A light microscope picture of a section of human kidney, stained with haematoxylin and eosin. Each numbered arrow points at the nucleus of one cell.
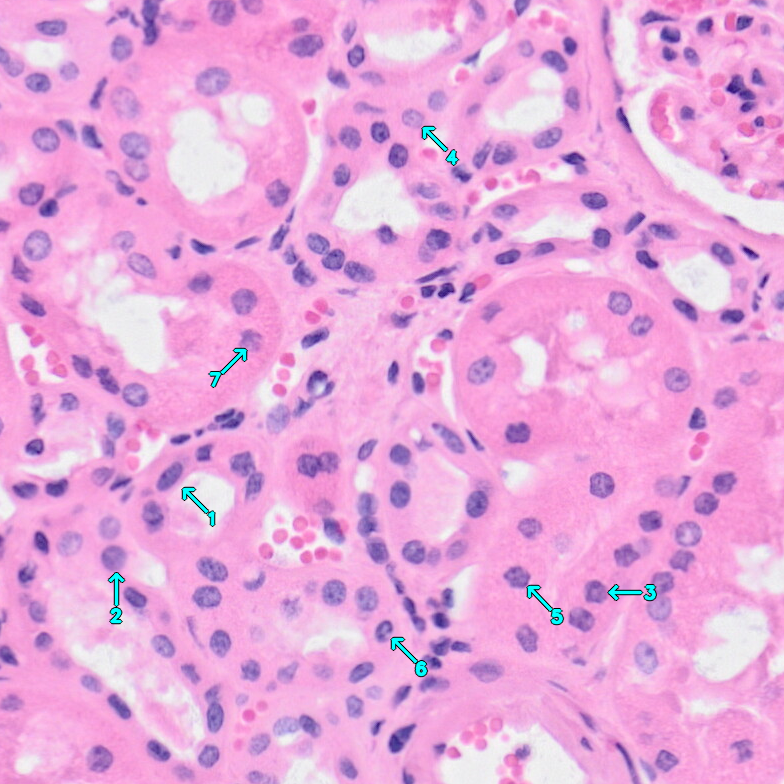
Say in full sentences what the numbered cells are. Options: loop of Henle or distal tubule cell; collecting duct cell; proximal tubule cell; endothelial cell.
Cell 1 is a collecting duct cell, cell 2 is a collecting duct cell, cell 3 is a proximal tubule cell, cell 4 is a collecting duct cell, cell 5 is a proximal tubule cell, cell 6 is a collecting duct cell and cell 7 is a proximal tubule cell.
